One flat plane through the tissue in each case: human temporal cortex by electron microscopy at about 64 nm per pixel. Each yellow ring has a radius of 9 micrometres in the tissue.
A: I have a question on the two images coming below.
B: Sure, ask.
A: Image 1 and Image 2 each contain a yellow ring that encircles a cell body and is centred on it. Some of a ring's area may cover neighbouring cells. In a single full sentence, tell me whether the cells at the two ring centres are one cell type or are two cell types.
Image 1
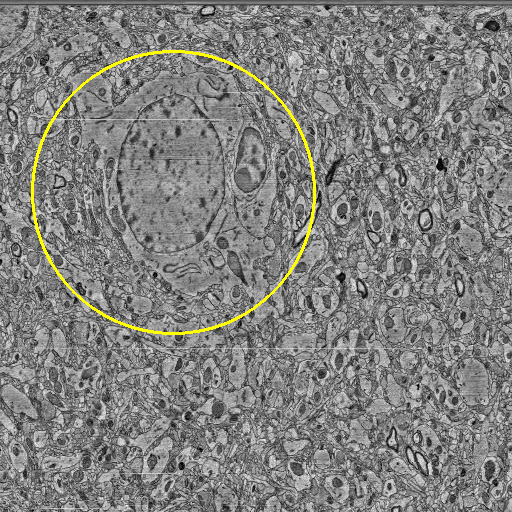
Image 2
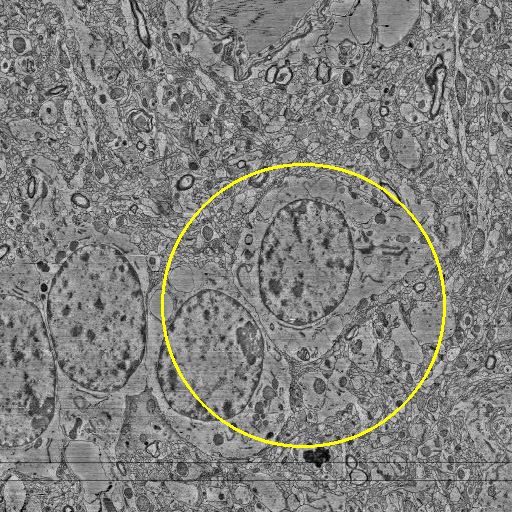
As for the ring-centre cells, the one in Image 1 and the one in Image 2 are one cell type.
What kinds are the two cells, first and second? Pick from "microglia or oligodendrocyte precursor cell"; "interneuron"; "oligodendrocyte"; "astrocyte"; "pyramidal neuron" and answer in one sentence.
Both pictures show an astrocyte at the centre of the ring.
